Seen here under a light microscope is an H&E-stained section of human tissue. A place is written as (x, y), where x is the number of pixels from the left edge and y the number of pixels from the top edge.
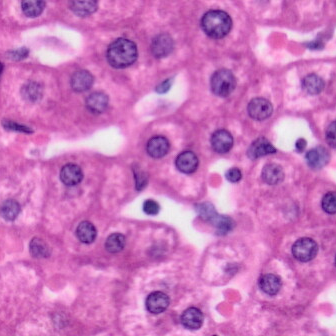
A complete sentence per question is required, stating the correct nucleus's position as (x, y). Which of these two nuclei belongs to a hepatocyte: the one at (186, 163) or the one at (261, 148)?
The nucleus belonging to a hepatocyte is the one at (186, 163).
